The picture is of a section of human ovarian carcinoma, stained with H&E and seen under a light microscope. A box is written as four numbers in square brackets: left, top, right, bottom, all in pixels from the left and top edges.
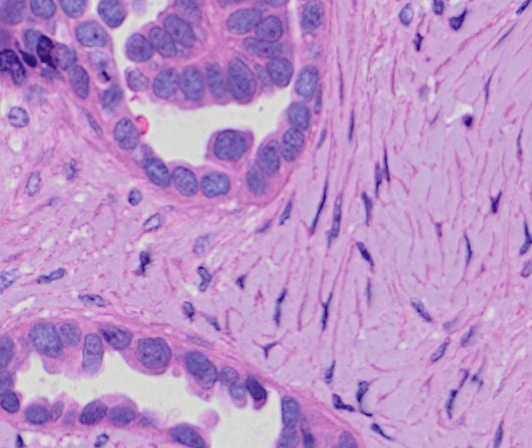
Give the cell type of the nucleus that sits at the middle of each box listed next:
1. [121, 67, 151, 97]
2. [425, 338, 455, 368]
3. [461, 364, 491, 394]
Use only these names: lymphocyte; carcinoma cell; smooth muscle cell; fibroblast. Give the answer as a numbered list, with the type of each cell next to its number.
1. carcinoma cell
2. fibroblast
3. fibroblast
